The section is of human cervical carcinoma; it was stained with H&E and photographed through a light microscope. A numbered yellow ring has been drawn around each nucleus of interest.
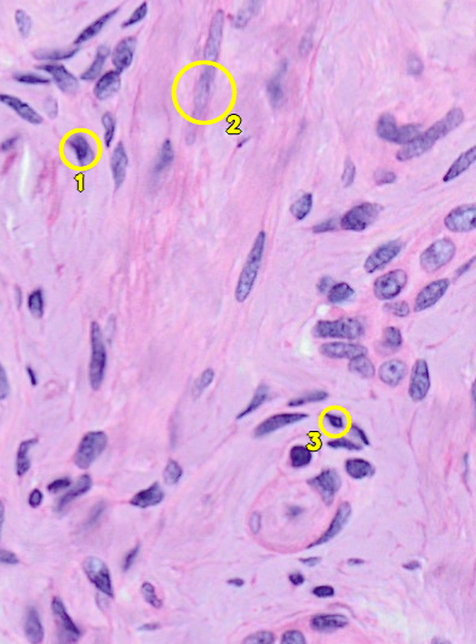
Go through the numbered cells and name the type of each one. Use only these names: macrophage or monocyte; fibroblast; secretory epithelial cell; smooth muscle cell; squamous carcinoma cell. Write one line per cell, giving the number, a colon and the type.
1: fibroblast
2: smooth muscle cell
3: fibroblast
